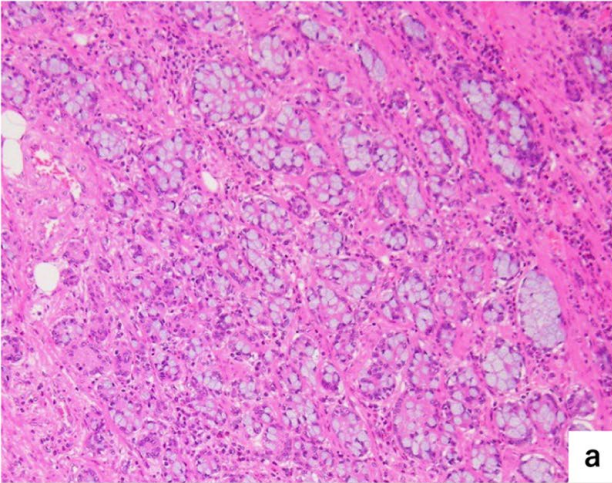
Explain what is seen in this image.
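This field shows atypical cells gathered into many small rounded clusters lying in a pink fibrous stroma. Each cluster is made of cells whose cytoplasm is filled with pale, bubbly, grey-blue vacuoles, giving a goblet-like look. Dark, small nuclei sit at the edges of the clusters, often pushed aside by the vacuoles. The clusters are closely packed and run in rows between strands of eosin-pink collagen, with scattered small dark stromal nuclei between them. A few empty round spaces at the left edge resemble fat cells.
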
